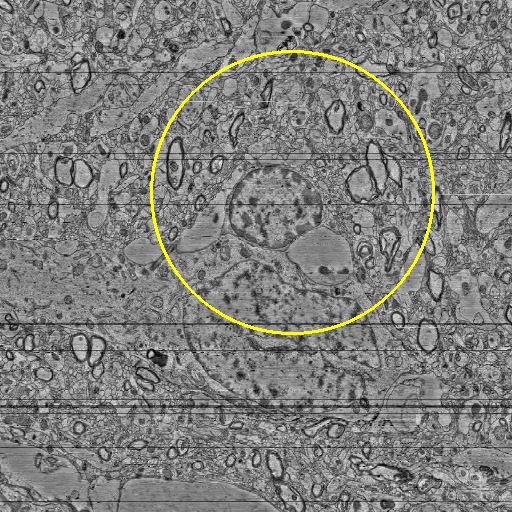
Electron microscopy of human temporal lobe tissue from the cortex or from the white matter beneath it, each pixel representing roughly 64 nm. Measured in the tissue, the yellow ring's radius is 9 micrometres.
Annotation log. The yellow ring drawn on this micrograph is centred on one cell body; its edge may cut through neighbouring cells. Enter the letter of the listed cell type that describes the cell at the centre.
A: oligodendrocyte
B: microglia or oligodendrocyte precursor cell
B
